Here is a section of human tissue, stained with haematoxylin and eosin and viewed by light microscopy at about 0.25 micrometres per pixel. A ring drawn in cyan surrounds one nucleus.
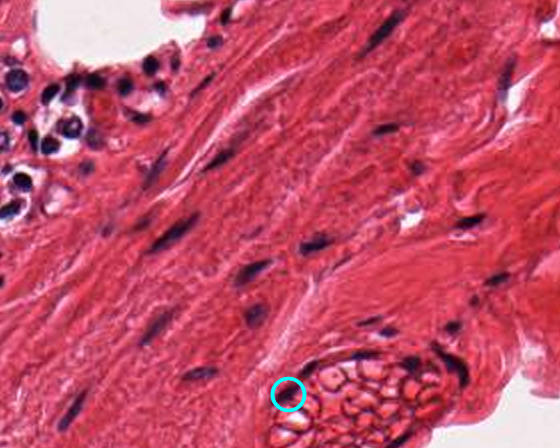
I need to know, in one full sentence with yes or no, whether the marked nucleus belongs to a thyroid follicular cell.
No, a supporting cell rather than a thyroid follicular cell is the cell of the marked nucleus.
